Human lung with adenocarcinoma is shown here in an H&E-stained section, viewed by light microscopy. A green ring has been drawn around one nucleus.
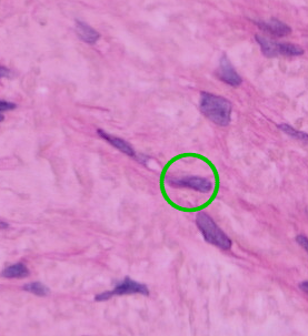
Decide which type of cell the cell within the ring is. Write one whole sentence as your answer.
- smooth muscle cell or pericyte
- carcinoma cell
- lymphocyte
The cell meant here is a smooth muscle cell or pericyte.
